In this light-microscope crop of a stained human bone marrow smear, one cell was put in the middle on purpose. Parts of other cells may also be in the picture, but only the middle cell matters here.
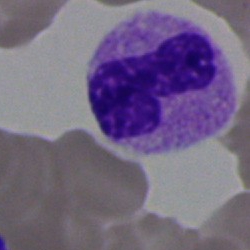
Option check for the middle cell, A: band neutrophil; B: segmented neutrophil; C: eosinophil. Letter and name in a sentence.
The cell shown centrally is a band neutrophil; option A is the correct option.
